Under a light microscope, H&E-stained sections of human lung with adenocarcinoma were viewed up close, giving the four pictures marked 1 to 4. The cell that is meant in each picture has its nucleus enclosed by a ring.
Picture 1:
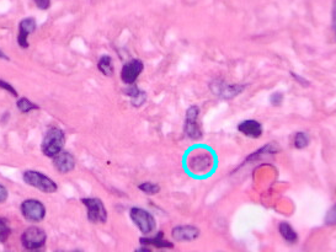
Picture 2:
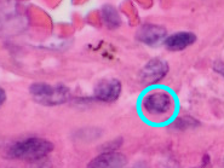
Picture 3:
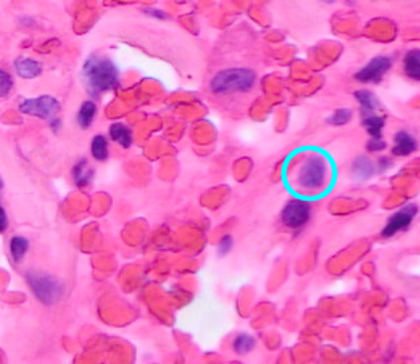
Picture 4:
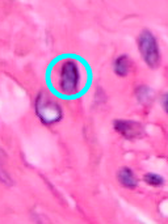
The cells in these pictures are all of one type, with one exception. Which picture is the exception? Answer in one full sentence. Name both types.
Unlike the rest, which show mast cells, picture 3 shows a type I pneumocyte.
